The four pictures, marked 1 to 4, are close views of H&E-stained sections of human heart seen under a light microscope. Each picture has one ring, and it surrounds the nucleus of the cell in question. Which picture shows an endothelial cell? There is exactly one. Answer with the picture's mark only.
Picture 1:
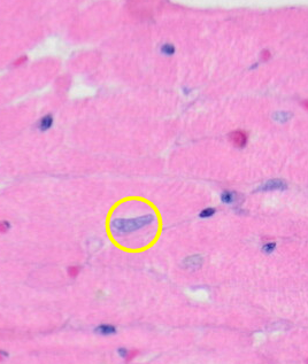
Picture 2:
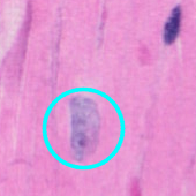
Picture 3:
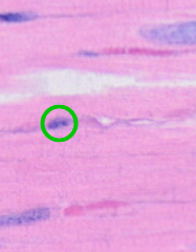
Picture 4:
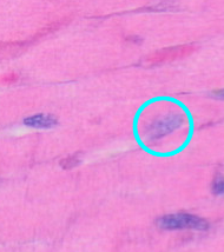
3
